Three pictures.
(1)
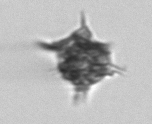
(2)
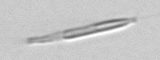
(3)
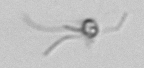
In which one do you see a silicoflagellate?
In picture 1.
